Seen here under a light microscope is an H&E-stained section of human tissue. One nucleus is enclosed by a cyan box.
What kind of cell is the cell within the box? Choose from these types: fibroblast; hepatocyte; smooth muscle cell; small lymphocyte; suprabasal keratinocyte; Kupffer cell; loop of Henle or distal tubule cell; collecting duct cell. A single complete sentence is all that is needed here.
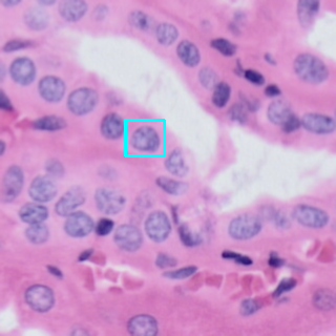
With respect to cell type, the cell within the box is a collecting duct cell.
